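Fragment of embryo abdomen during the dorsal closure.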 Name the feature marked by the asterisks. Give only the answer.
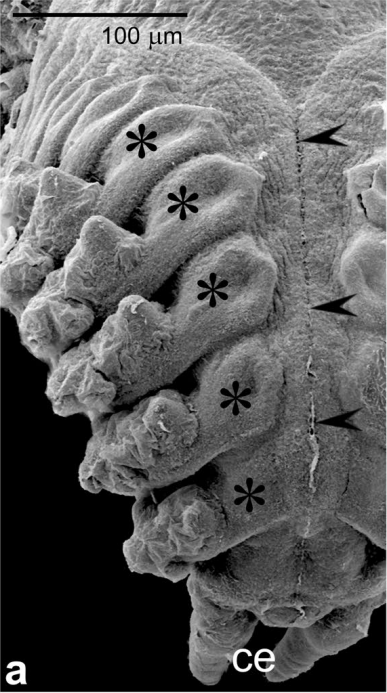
abdominal outgrowths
